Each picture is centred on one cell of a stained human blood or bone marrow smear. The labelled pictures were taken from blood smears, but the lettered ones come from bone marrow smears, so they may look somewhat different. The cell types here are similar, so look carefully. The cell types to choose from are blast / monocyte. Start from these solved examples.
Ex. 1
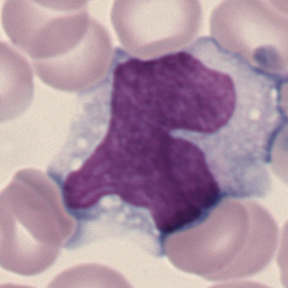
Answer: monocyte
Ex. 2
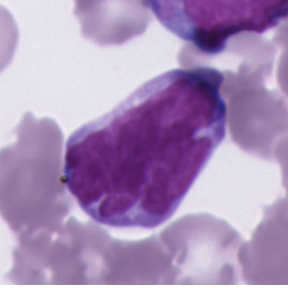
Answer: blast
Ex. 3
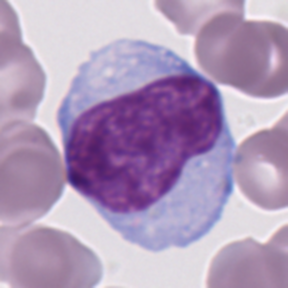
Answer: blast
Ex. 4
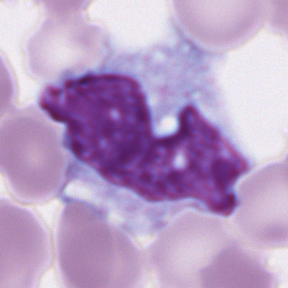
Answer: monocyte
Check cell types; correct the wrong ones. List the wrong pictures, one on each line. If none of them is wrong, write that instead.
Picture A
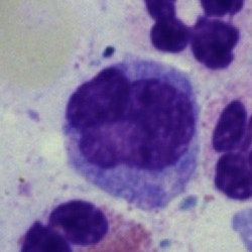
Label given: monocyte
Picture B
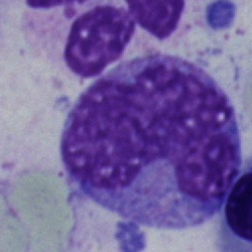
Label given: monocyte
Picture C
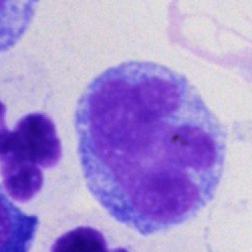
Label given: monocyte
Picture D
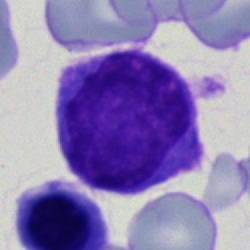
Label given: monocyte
D: blast, not monocyte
